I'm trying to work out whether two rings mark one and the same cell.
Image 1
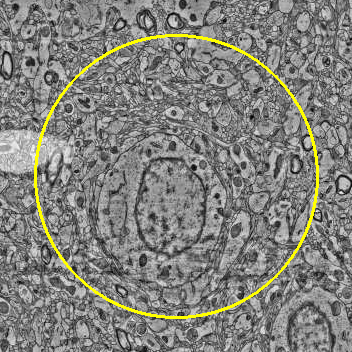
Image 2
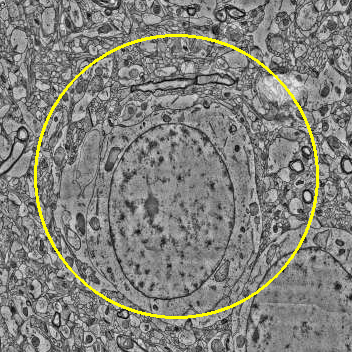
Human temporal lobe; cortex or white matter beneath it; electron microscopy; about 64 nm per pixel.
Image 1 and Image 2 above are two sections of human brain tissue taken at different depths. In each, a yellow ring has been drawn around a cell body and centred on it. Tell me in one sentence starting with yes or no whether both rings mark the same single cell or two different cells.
Yes, one single cell is under each of the two rings.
